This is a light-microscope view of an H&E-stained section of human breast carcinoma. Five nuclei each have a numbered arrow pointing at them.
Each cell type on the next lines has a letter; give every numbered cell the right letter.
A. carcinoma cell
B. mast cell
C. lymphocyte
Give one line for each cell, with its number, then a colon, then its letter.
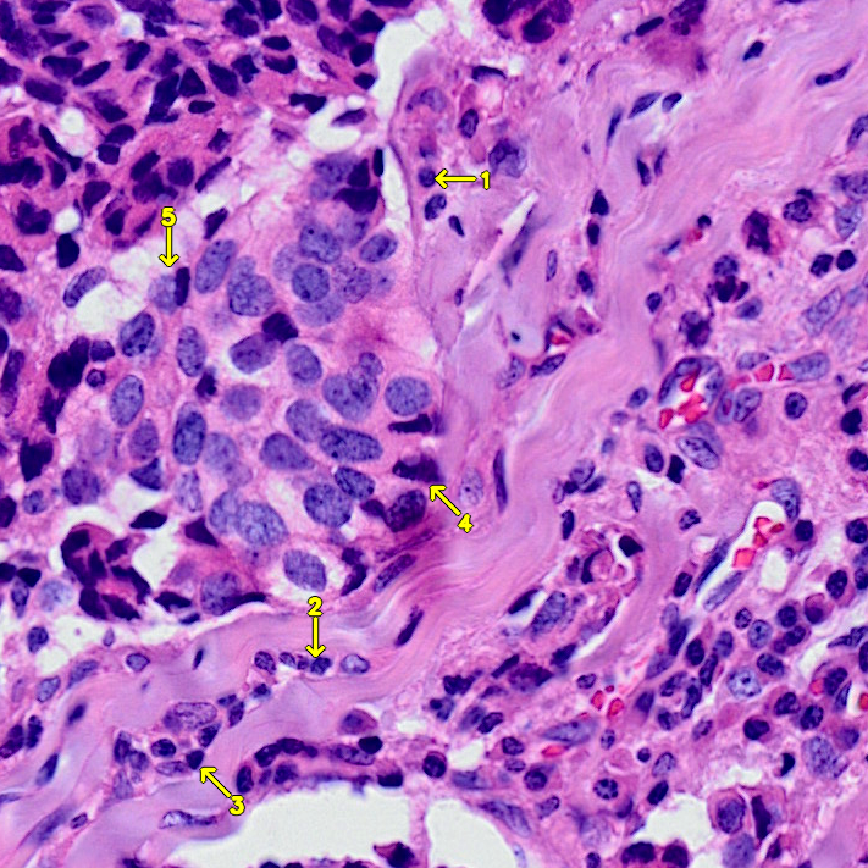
1: B
2: C
3: C
4: A
5: A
